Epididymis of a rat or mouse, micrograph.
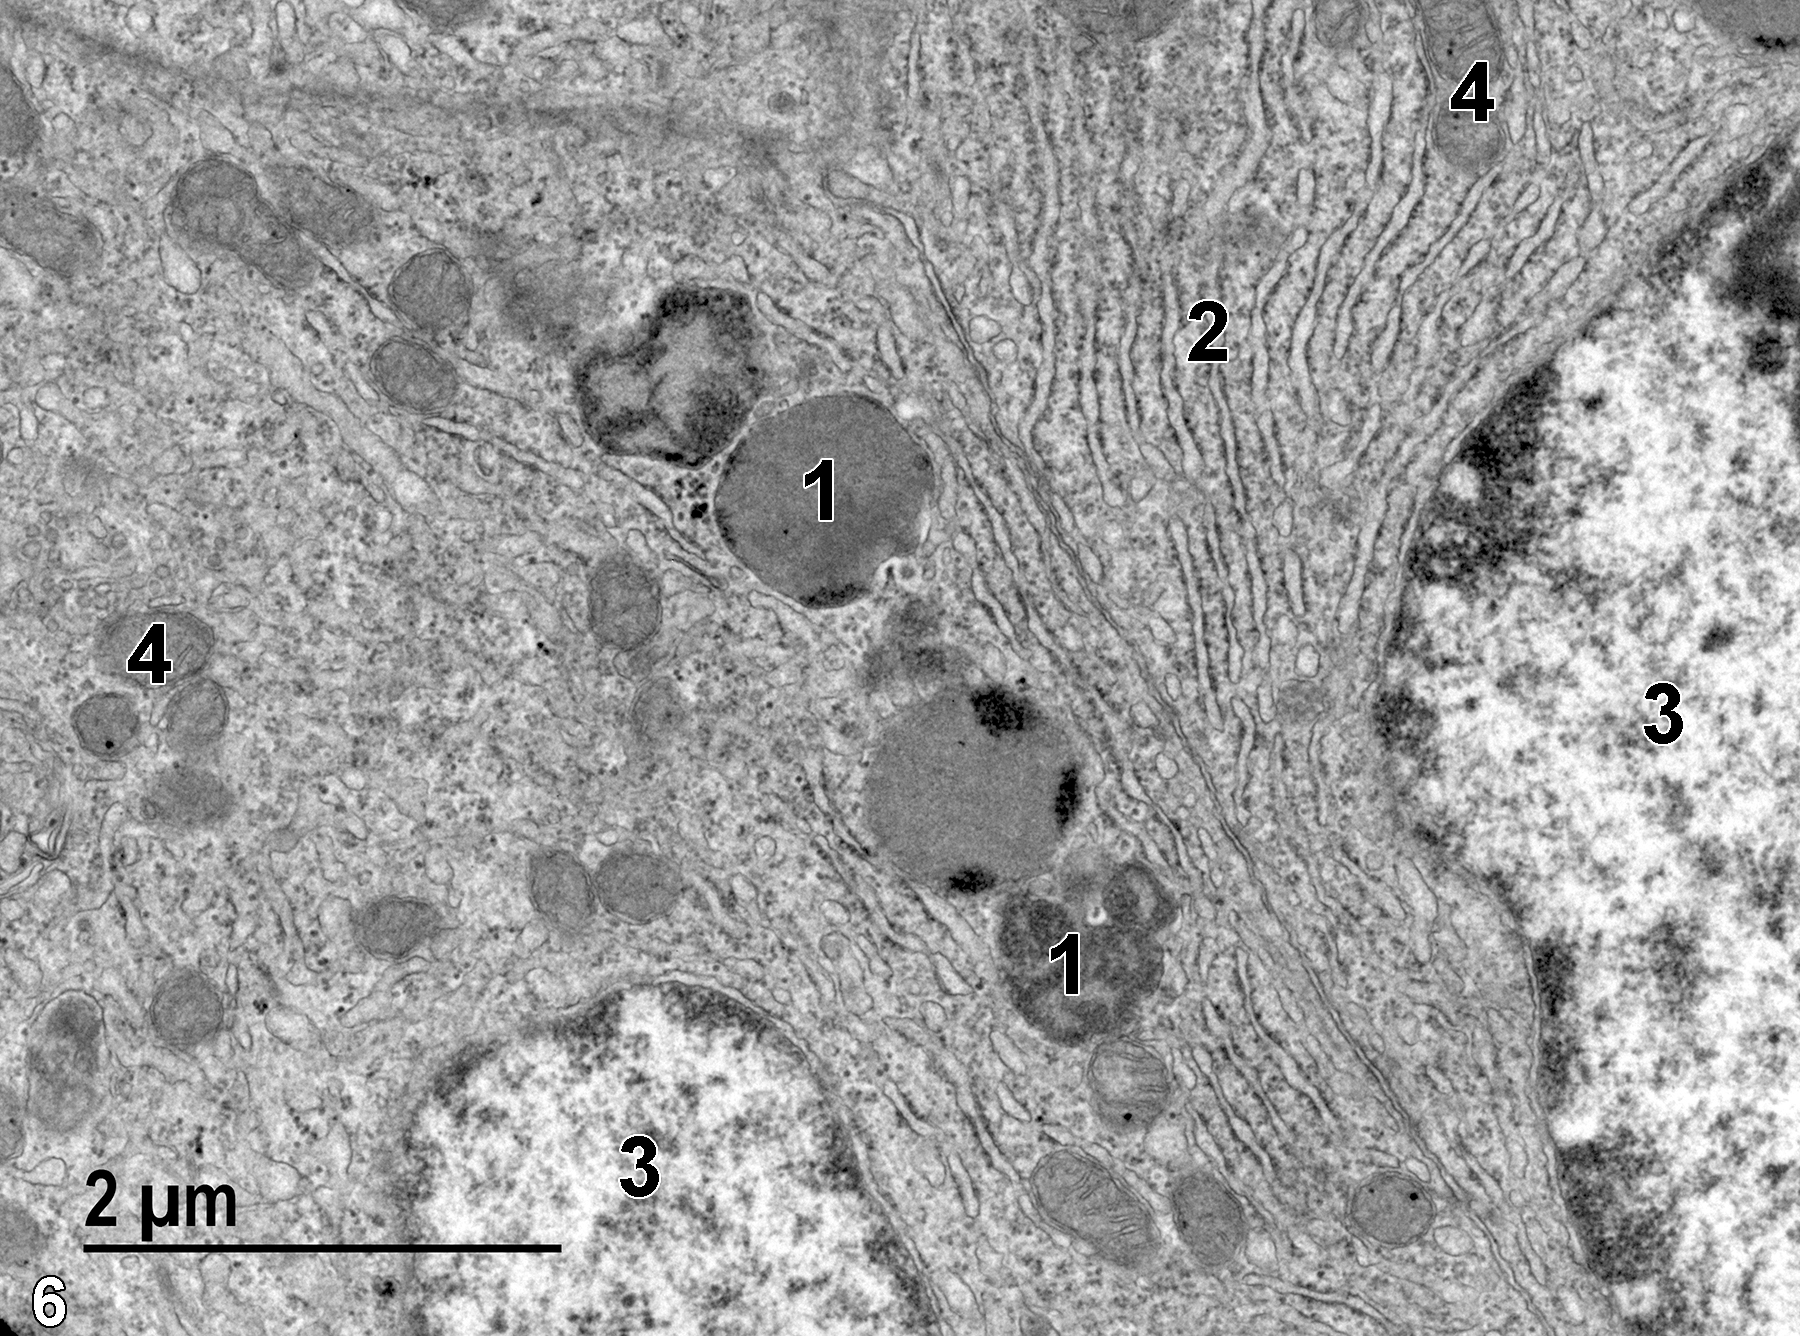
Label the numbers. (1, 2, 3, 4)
1 lysosomes
2 rough endoplasmic reticulum
3 nuclei
4 mitochondria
